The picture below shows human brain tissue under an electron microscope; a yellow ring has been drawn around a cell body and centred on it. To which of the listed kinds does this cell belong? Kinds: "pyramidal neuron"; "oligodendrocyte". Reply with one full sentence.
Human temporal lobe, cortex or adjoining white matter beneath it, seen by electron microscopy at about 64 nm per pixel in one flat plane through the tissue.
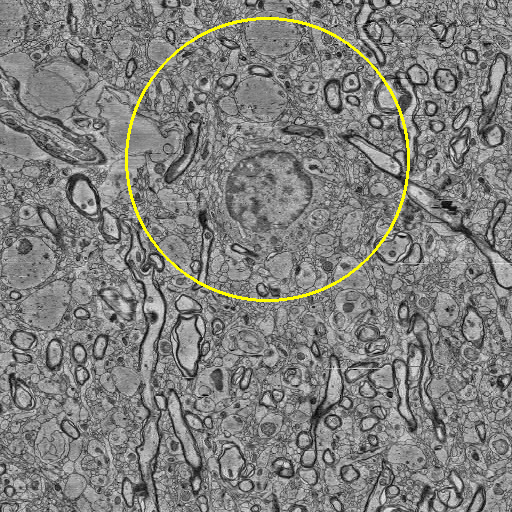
It is an oligodendrocyte that the yellow ring in the picture is centred on.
